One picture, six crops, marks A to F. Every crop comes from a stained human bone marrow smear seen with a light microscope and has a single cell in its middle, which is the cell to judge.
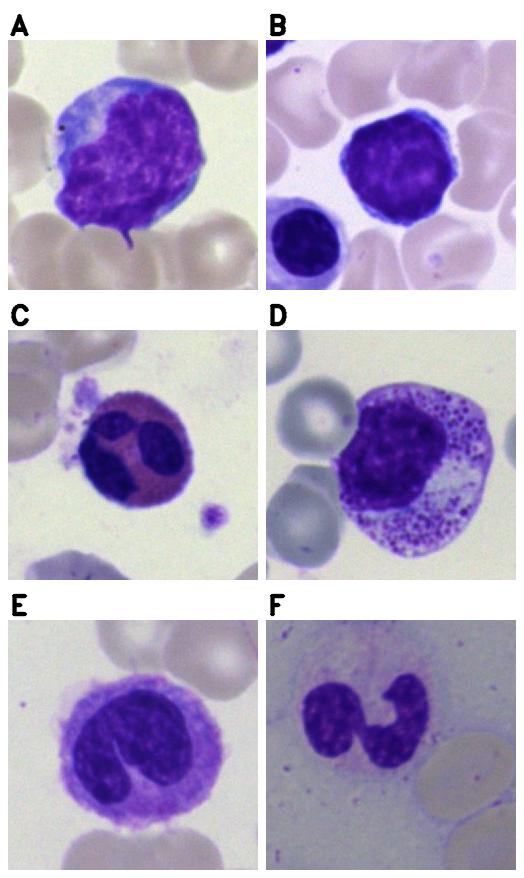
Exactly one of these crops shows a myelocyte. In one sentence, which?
The crop that has a myelocyte in the middle is crop D.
